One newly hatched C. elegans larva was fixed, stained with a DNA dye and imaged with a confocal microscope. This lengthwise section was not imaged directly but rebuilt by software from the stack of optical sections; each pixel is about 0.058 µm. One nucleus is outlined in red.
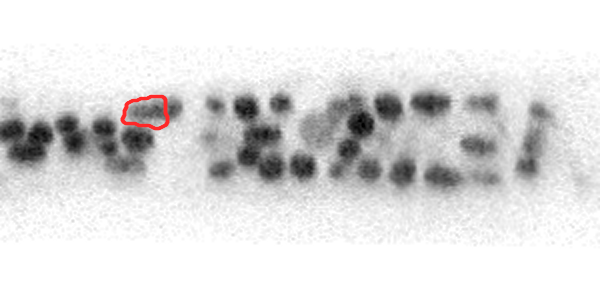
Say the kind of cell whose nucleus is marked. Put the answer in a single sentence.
The marked cell is a body wall muscle cell.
